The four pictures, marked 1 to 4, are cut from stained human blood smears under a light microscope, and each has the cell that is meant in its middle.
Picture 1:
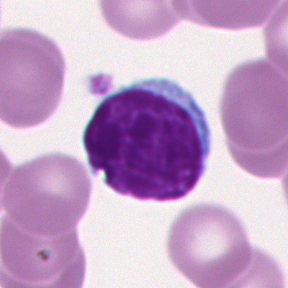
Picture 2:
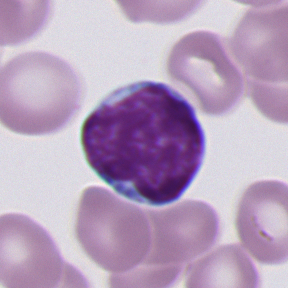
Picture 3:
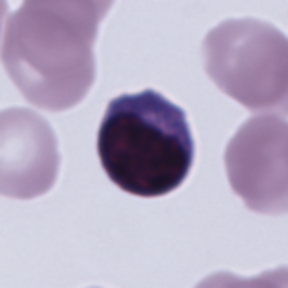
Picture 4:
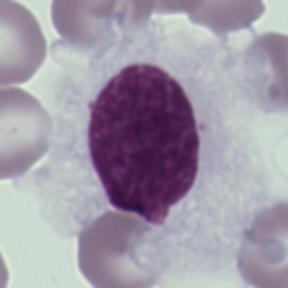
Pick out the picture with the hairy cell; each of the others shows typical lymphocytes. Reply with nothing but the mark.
4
